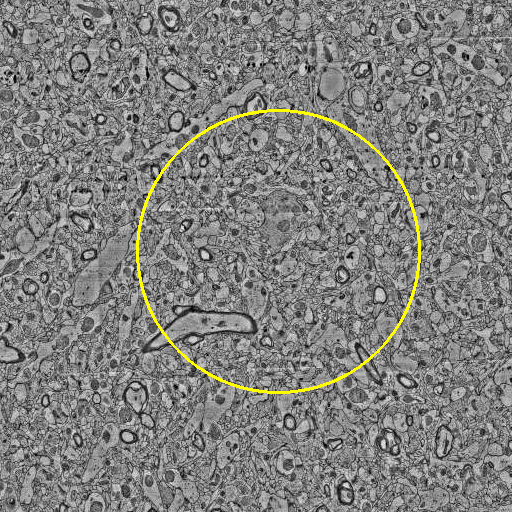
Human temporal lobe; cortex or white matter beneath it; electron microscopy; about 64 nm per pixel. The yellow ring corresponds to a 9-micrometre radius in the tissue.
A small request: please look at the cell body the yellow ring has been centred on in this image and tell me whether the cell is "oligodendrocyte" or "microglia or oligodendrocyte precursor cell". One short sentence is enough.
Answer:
The cell marked by the ring is an oligodendrocyte.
